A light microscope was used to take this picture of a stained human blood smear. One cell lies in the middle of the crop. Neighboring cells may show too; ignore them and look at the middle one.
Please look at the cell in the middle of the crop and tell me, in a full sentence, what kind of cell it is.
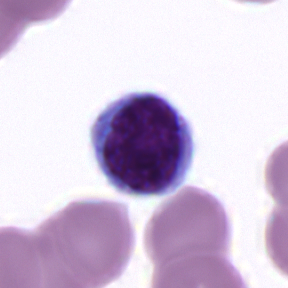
In the central position of this crop, the cell is a plasma cell.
